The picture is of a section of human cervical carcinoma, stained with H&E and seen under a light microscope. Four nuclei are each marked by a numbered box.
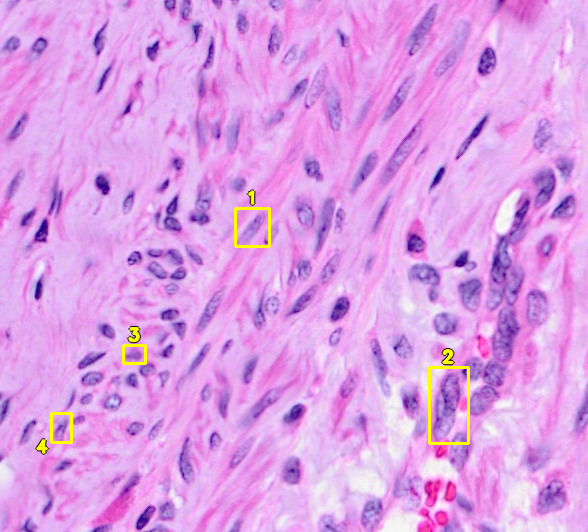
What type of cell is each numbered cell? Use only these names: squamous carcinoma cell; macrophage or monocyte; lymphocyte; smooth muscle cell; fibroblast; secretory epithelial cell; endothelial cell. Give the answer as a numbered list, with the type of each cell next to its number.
1. smooth muscle cell
2. endothelial cell
3. smooth muscle cell
4. smooth muscle cell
